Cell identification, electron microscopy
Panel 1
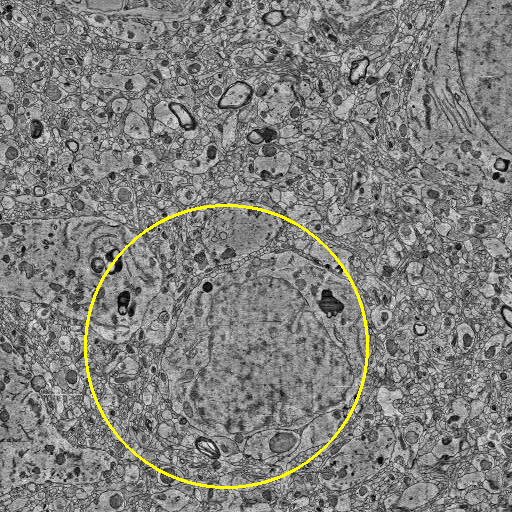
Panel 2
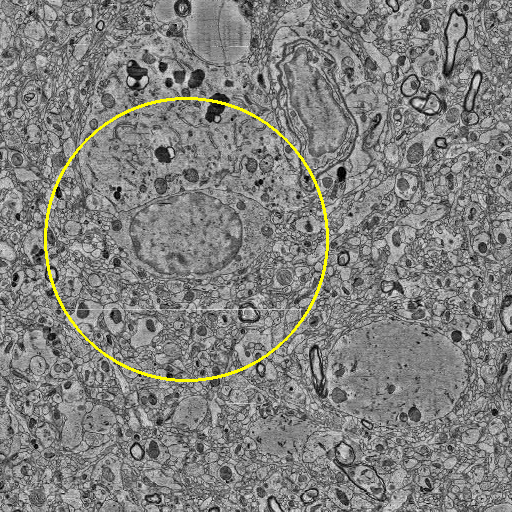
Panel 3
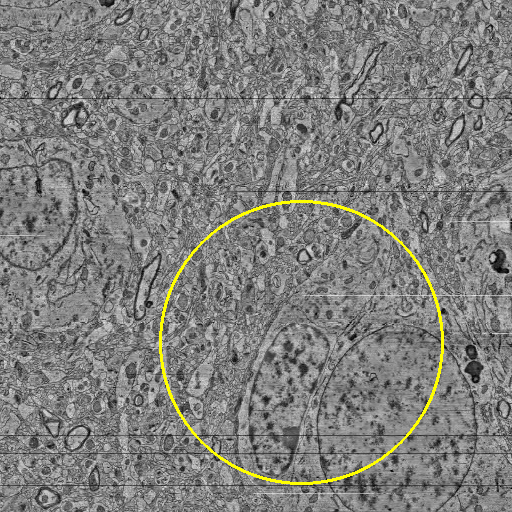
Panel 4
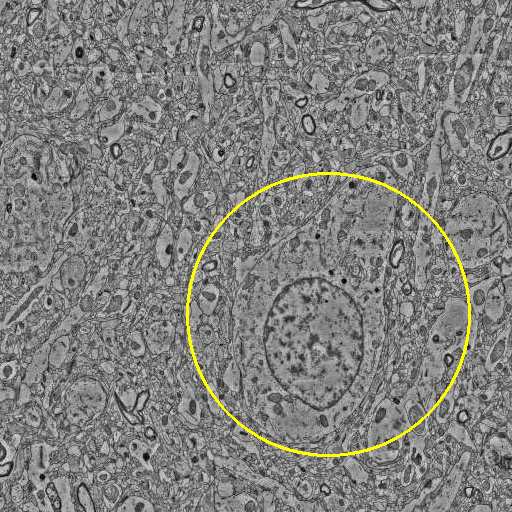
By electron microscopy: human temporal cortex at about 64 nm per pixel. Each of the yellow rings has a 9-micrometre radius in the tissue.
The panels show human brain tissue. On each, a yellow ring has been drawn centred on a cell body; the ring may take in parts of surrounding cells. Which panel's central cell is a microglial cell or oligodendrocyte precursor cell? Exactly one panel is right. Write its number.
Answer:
3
